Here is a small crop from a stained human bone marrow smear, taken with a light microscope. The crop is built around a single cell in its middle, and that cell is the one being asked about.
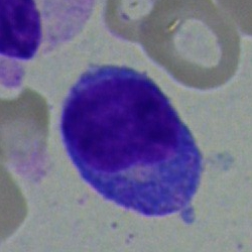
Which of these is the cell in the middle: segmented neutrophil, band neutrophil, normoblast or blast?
blast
